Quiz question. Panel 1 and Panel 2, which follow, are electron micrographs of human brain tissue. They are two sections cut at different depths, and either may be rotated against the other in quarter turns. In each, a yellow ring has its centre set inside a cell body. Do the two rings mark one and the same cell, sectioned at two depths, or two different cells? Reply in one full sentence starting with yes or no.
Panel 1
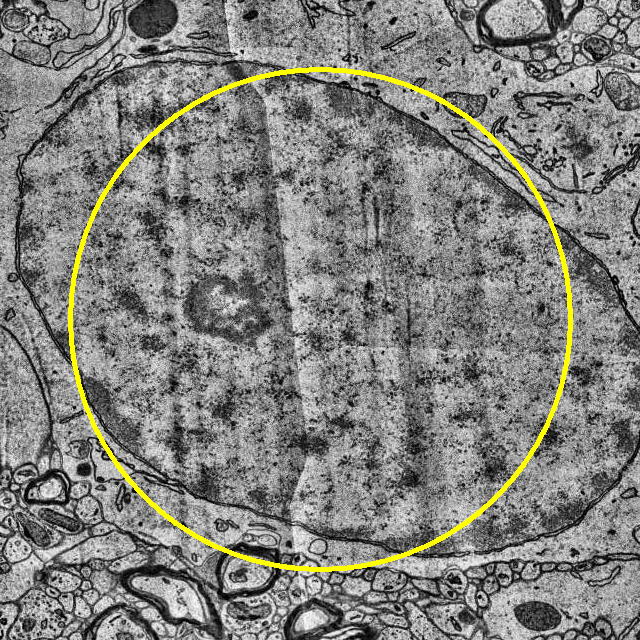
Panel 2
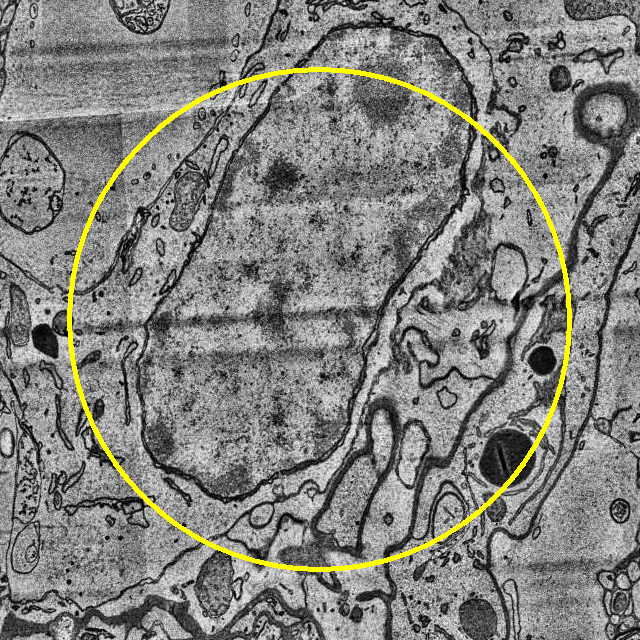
Yes, the second ring marks the same cell as the first.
